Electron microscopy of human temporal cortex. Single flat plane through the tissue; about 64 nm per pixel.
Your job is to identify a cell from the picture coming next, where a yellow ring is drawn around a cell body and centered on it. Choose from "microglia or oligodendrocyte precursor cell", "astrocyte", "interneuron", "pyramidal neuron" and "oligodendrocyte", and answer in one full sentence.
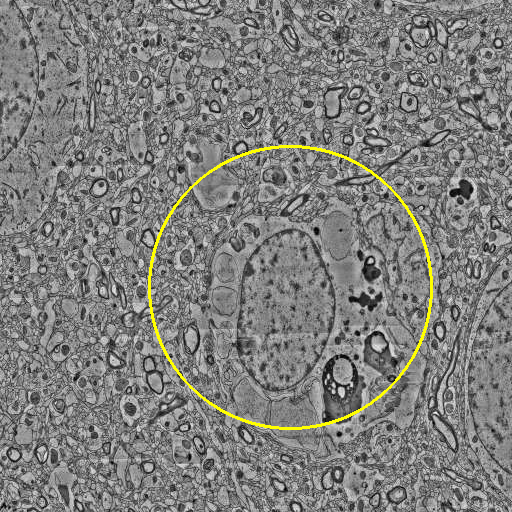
Centered in the yellow ring of the picture is the body of an astrocyte.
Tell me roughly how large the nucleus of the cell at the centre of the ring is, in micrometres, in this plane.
Roughly 10 micrometres long and 6 micrometres wide; in this plane the nucleus is clearly longer than it is wide.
